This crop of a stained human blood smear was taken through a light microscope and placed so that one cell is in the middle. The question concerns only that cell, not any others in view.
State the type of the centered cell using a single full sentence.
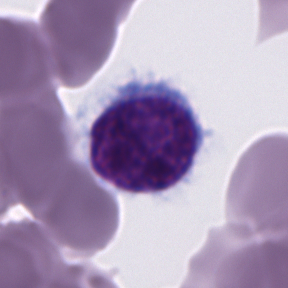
On this slide crop, the central cell is a hairy cell.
